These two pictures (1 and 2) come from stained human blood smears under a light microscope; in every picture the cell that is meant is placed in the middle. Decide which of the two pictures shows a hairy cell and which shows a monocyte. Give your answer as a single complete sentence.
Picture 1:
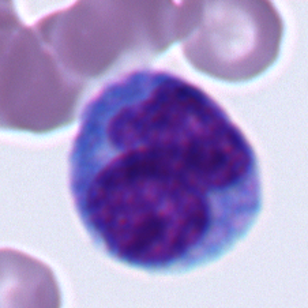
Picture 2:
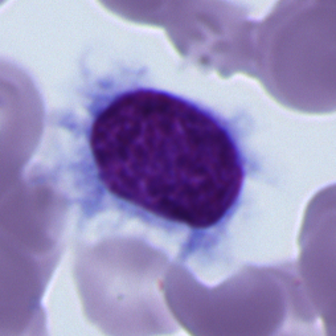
Picture 2 shows a hairy cell, while picture 1 shows a monocyte.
